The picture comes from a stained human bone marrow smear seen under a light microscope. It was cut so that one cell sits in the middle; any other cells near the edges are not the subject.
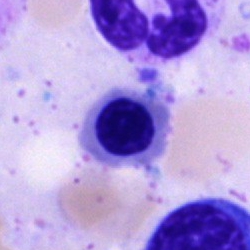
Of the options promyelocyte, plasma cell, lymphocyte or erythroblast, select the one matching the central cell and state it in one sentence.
The central element of this crop is a cell, namely an erythroblast.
